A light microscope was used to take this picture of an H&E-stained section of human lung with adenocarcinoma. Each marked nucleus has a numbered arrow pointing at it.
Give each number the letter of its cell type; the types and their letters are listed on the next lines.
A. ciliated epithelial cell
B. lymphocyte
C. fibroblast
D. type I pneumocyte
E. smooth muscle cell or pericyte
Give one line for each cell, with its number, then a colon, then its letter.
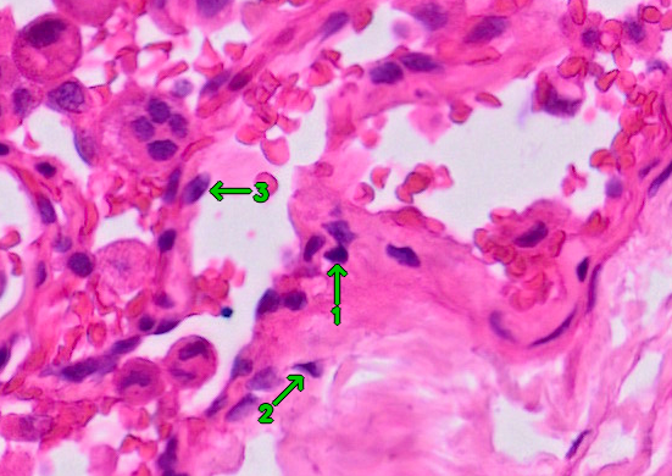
1: B
2: C
3: D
